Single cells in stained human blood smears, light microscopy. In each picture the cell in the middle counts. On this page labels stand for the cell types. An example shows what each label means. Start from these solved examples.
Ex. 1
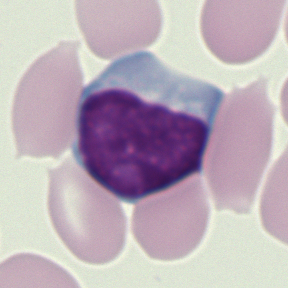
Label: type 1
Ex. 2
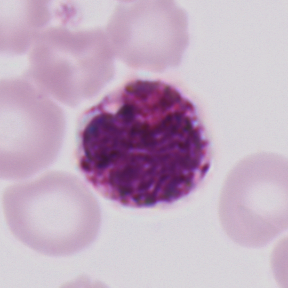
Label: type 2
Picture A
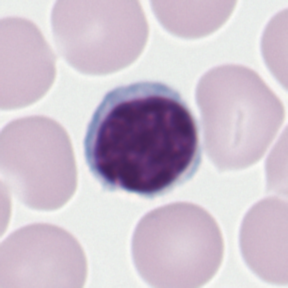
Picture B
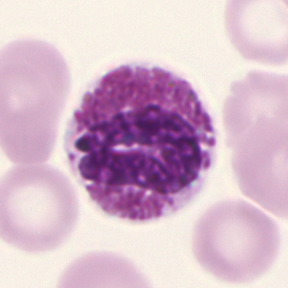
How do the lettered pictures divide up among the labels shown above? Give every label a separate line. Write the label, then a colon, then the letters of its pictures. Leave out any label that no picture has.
type 1: A
type 2: B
